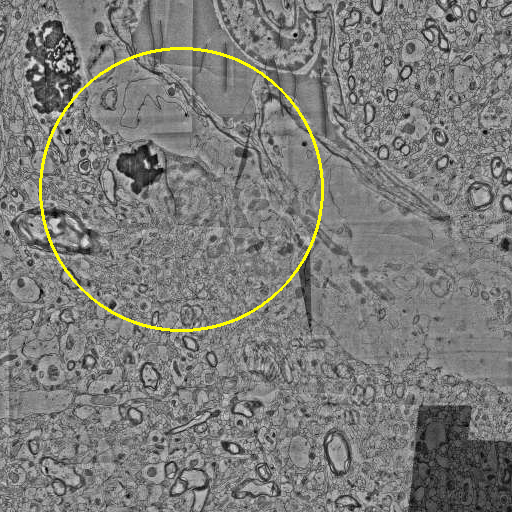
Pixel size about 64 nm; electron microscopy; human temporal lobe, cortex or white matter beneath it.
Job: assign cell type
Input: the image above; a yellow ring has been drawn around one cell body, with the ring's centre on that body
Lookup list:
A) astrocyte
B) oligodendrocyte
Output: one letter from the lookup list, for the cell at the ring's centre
B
